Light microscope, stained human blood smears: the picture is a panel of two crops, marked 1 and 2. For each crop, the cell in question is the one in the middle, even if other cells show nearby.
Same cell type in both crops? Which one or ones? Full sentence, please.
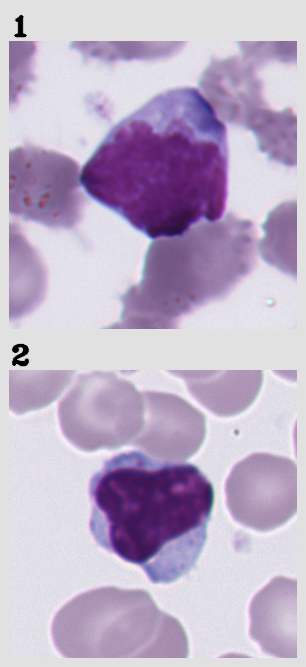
No, it is crop 1 that shows a blast, and crop 2 that shows a lymphocyte.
